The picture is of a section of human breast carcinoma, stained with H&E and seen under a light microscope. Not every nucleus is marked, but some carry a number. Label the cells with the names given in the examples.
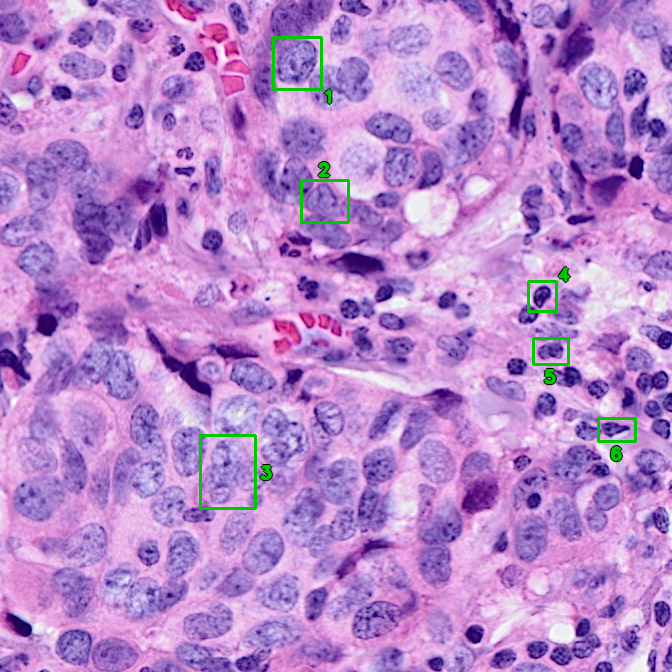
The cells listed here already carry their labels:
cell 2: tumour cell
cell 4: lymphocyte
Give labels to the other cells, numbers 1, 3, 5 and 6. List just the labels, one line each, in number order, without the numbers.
tumour cell
tumour cell
lymphocyte
lymphocyte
